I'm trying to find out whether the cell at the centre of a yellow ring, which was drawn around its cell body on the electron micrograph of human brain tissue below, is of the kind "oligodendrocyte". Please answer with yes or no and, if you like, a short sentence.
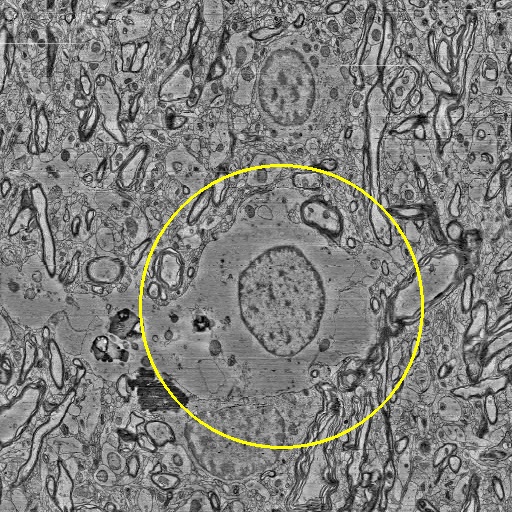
No, that cell is of another kind.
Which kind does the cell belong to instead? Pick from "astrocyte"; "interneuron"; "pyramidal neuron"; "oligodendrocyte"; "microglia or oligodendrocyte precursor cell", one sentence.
Sitting at the ring centre is an astrocyte.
